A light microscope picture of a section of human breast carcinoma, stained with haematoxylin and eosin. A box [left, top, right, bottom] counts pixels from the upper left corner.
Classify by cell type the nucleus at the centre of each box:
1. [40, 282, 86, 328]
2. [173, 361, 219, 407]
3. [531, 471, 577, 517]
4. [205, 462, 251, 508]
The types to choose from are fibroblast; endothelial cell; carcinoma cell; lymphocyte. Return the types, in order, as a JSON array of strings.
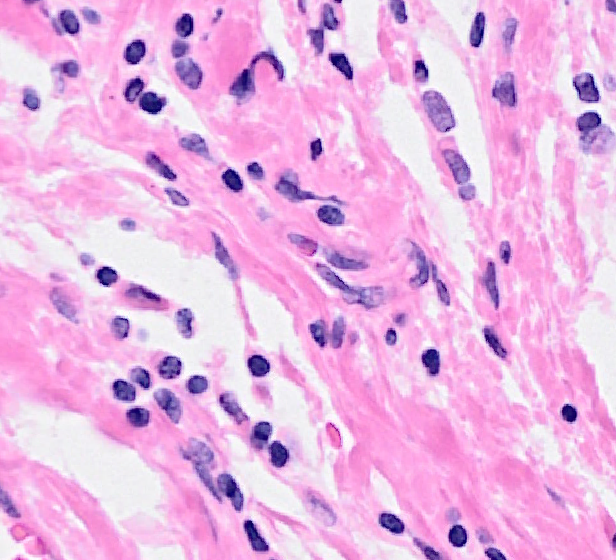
["fibroblast", "lymphocyte", "fibroblast", "lymphocyte"]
